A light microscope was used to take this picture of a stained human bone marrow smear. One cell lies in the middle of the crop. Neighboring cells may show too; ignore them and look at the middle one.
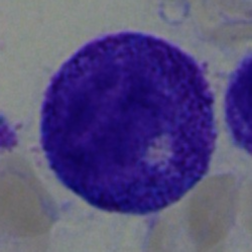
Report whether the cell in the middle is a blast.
no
